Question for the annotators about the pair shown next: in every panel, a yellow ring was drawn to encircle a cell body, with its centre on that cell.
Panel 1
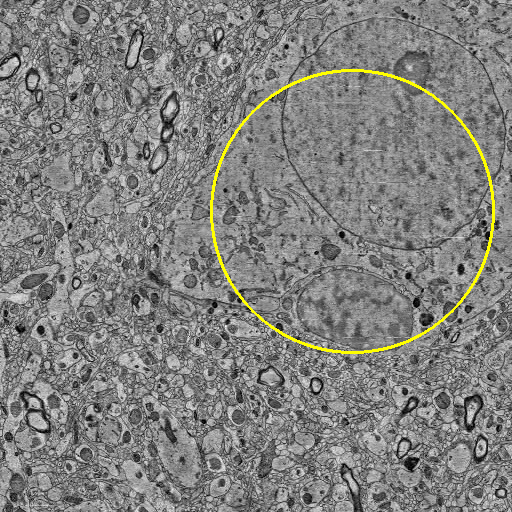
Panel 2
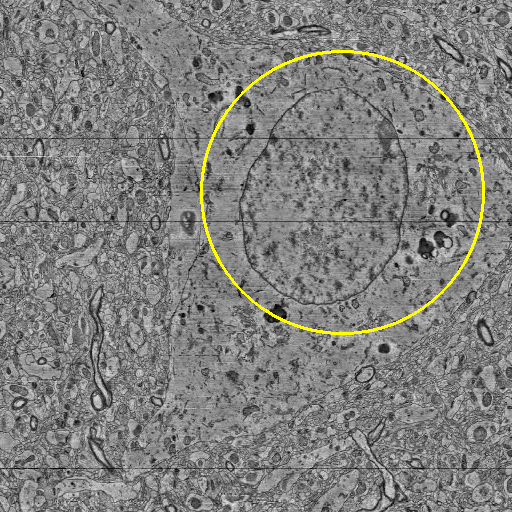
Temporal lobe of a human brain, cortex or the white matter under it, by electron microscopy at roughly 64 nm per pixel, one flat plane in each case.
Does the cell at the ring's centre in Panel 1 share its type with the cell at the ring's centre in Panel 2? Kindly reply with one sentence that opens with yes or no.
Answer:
Yes, in Panels 1 and 2 the cells at the ring centres belong to a single type.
